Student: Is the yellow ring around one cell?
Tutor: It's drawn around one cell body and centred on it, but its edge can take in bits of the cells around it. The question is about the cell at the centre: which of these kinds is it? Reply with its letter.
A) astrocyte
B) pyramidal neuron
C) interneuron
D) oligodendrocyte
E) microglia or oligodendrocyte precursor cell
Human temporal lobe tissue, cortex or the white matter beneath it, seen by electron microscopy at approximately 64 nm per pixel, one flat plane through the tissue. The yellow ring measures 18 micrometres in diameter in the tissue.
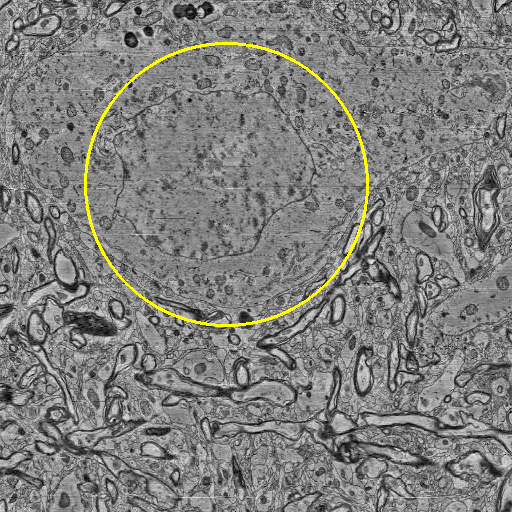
B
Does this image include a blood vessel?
No.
